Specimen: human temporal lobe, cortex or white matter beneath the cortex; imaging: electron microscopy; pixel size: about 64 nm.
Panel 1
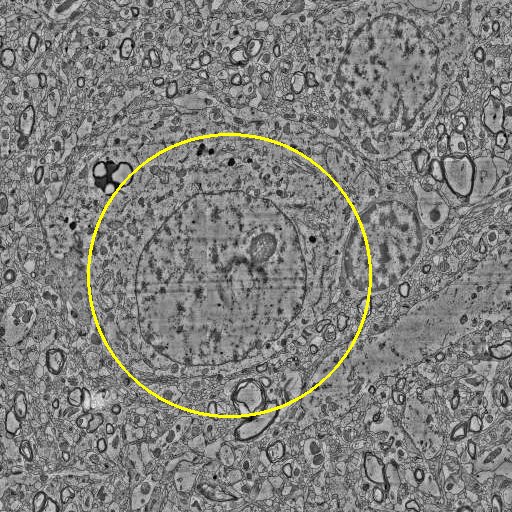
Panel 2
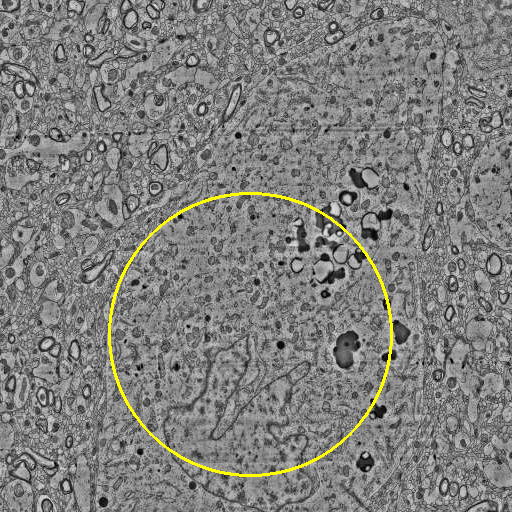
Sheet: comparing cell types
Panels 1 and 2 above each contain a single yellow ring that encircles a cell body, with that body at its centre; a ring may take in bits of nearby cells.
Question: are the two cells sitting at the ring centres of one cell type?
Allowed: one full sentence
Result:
Yes, the ring-centre cells in Panel 1 and Panel 2 are of one type.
